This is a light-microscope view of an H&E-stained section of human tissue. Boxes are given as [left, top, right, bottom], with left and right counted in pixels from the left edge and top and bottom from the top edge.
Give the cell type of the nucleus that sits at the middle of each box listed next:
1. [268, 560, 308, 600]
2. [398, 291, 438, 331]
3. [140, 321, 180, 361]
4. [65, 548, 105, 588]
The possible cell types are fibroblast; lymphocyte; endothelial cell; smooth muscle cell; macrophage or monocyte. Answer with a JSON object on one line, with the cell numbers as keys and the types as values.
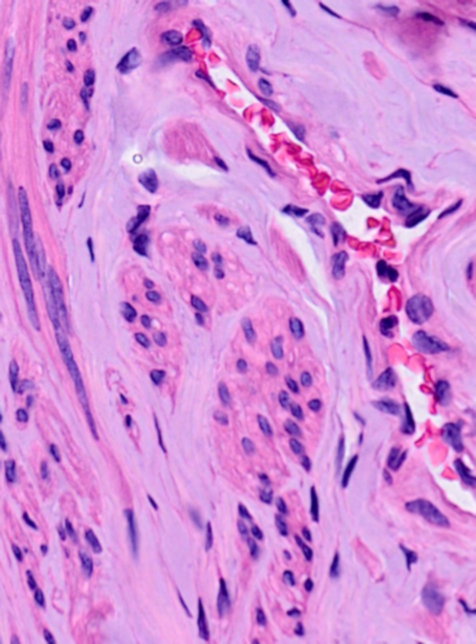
{"1": "smooth muscle cell", "2": "endothelial cell", "3": "smooth muscle cell", "4": "smooth muscle cell"}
